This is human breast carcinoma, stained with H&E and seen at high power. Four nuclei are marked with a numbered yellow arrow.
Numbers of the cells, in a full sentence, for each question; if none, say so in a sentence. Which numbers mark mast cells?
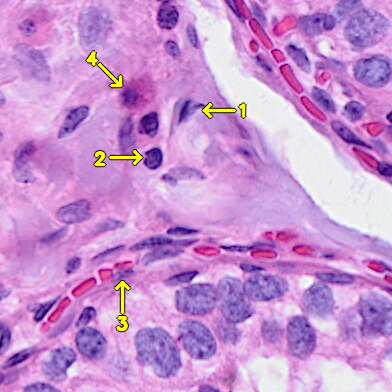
Cell number 4 alone is a mast cell; the rest are not.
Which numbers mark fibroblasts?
Only the nucleus marked 1 is that of a fibroblast.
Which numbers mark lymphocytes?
Just one of the numbered cells is a lymphocyte, namely number 2.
